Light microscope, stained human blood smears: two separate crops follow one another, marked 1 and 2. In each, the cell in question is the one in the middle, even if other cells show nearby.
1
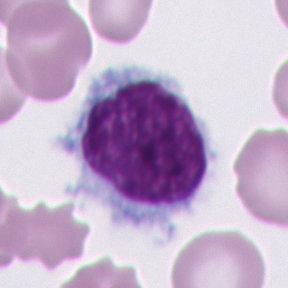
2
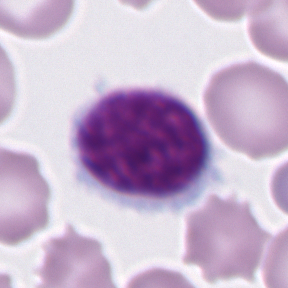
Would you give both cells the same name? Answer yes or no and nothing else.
yes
